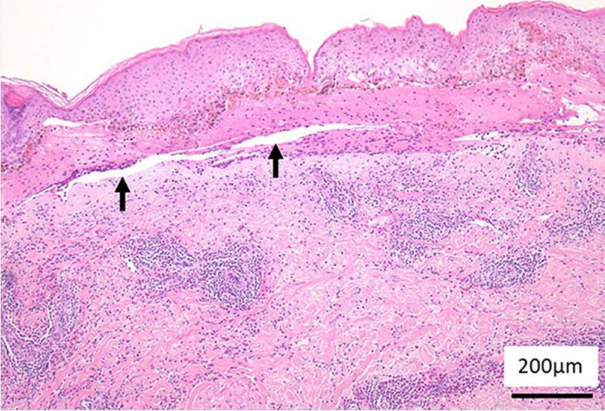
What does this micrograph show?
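This is a low-power view of skin with a subepidermal blister. The whole epidermis, with its pink stratified layers and a thin surface of keratin, has separated from the dermis along a long cleft, leaving an open space beneath its base. The roof of the blister is the intact epidermis. Below the cleft the upper dermis is pale and loose, and around its small vessels lie dense dark-purple clusters of inflammatory cells. Scattered inflammatory cells also lie in the dermis directly under the split.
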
